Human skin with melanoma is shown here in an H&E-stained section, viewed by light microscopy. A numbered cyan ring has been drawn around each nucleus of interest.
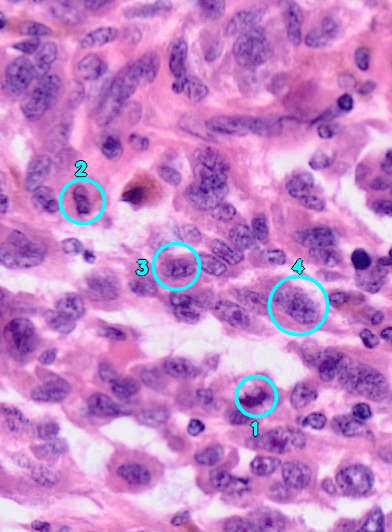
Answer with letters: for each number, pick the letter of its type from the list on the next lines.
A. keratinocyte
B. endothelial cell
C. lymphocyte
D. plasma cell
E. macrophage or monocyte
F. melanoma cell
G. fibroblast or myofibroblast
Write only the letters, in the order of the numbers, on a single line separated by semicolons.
F; E; F; F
